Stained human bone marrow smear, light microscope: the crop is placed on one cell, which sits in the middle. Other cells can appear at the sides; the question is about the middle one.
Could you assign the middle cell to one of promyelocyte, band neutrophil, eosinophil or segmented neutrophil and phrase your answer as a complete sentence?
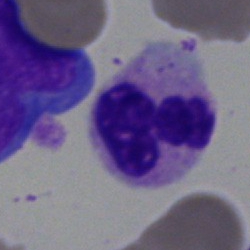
The central cell, amid any neighbouring cells, is a segmented neutrophil.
